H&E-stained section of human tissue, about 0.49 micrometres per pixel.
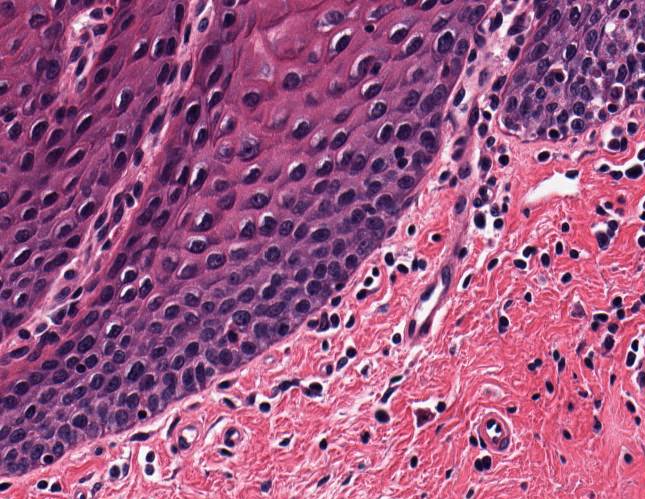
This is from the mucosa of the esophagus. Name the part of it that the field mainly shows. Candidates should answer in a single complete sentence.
The portion of tissue on this slide is called stratified squamous nonkeratinized epithelium.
